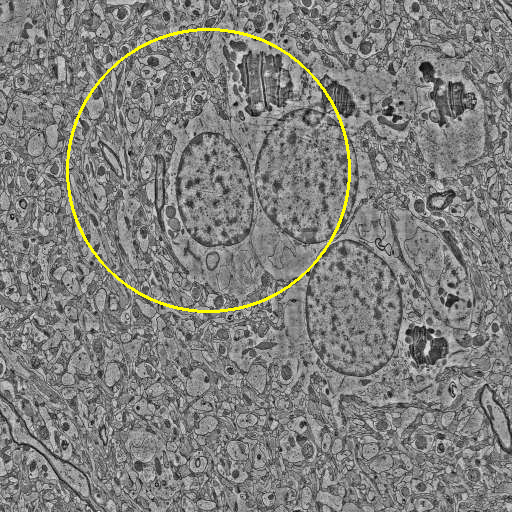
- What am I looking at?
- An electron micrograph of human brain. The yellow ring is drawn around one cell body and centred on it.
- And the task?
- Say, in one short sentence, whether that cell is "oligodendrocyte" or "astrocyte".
The cell in the middle of the ring is an astrocyte.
